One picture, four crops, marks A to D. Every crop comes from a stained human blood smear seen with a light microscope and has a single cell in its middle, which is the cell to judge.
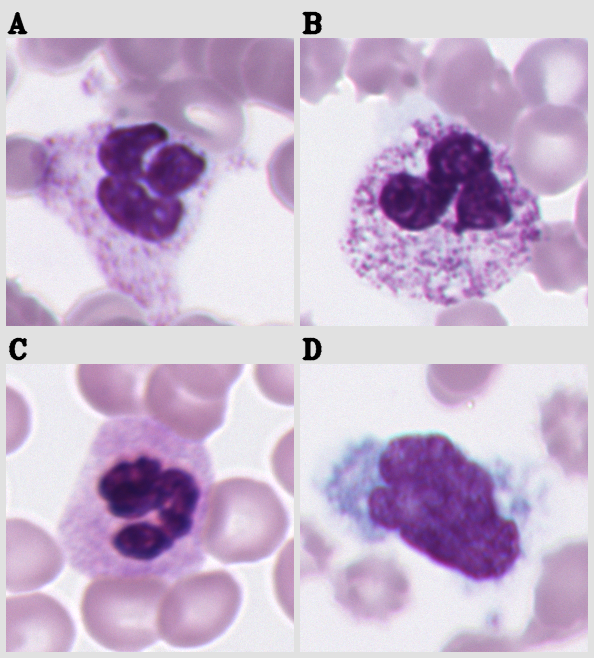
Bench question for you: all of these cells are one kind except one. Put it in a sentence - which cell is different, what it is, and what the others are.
Crop D is different, showing a monocyte, whereas all the others show segmented neutrophils.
